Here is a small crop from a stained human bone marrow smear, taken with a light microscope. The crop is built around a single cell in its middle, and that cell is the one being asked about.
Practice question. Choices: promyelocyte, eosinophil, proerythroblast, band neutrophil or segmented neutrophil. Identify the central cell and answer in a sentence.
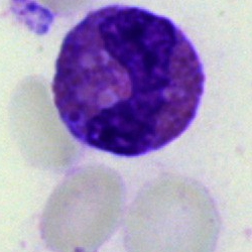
The cell at the middle of the crop is recognized as an eosinophil.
